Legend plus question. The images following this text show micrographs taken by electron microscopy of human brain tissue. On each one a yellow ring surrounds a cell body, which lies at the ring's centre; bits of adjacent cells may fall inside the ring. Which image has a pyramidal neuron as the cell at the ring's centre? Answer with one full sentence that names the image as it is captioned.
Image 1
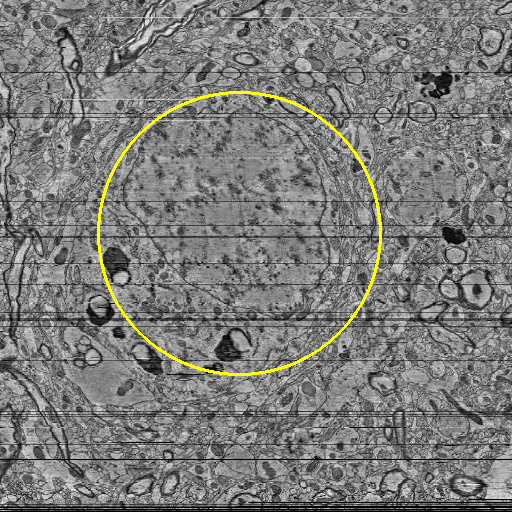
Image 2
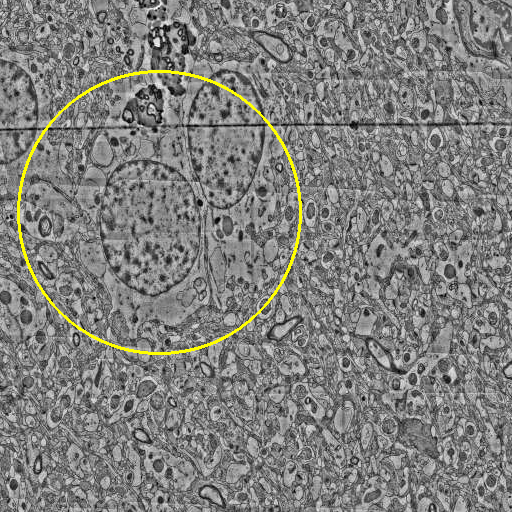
The centred cell that was asked for is the one in Image 1.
